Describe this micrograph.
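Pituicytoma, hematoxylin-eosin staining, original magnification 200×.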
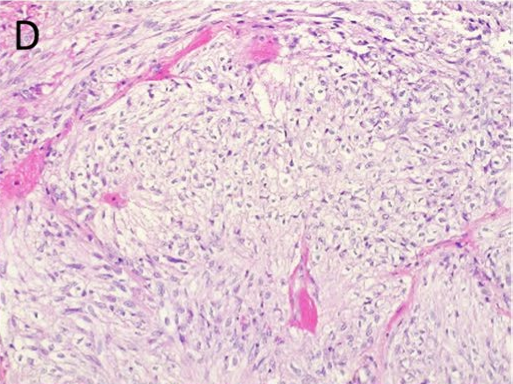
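Plump, polygonal tumour cells with pale, clear cytoplasm and round to oval purple nuclei fill most of the field, crossed by thin bright pink vessel walls, while more elongated cells remain at the edges. These are epithelioid cells with clear-cell cytoplasm.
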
